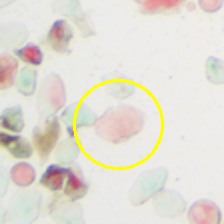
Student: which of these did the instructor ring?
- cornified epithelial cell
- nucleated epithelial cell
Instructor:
The cell I ringed is a cornified epithelial cell.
